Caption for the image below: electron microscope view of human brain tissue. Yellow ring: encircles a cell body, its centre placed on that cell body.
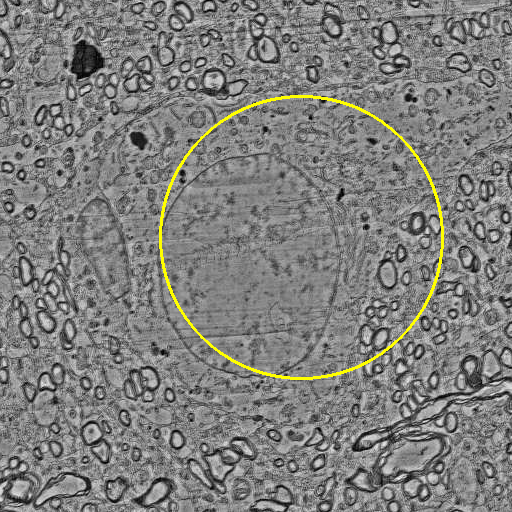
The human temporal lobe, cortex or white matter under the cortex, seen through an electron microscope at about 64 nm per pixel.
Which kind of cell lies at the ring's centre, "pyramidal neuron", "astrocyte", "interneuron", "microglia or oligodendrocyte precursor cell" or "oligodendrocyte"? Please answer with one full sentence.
The picture shows a pyramidal neuron at the centre of the yellow ring.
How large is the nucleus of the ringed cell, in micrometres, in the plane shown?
In this plane, roughly 14 by 12 micrometres.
